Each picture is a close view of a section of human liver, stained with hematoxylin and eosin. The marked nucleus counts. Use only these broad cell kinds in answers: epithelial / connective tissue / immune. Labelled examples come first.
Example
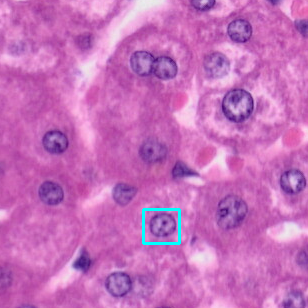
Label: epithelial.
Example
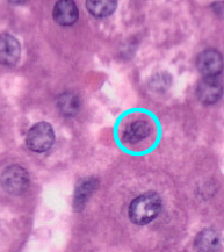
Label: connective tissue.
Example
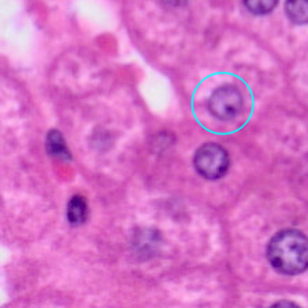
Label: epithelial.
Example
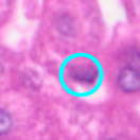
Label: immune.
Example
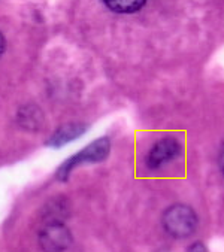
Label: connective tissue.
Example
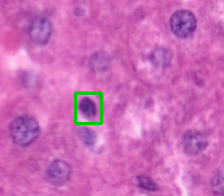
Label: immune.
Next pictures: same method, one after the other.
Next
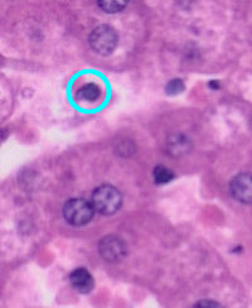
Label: immune.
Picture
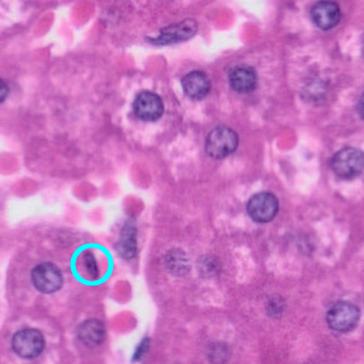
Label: connective tissue.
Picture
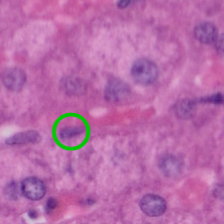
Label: connective tissue.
